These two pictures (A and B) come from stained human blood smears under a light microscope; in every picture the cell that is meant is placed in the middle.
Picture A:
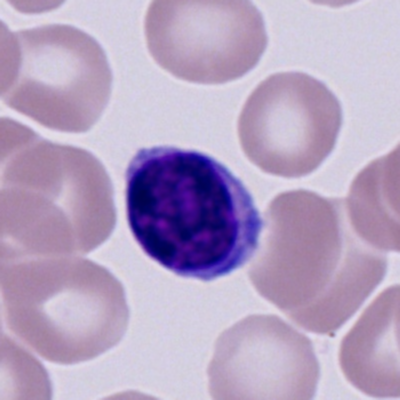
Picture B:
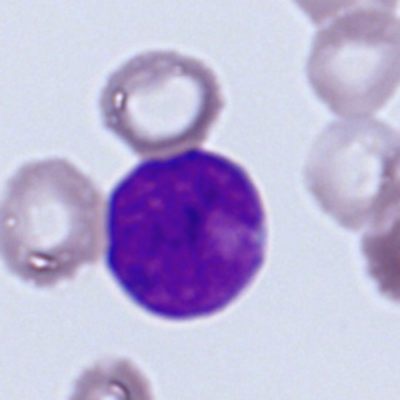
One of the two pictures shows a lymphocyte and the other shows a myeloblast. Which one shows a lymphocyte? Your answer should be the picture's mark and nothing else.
A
